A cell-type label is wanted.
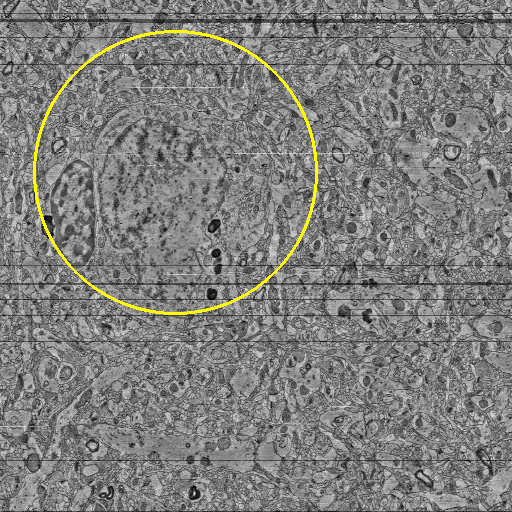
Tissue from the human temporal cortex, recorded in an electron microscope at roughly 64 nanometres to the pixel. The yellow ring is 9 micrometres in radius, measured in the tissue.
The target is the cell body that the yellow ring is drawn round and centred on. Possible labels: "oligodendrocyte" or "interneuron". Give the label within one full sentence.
Of the labels offered, the cell in the middle of the yellow ring is an interneuron.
